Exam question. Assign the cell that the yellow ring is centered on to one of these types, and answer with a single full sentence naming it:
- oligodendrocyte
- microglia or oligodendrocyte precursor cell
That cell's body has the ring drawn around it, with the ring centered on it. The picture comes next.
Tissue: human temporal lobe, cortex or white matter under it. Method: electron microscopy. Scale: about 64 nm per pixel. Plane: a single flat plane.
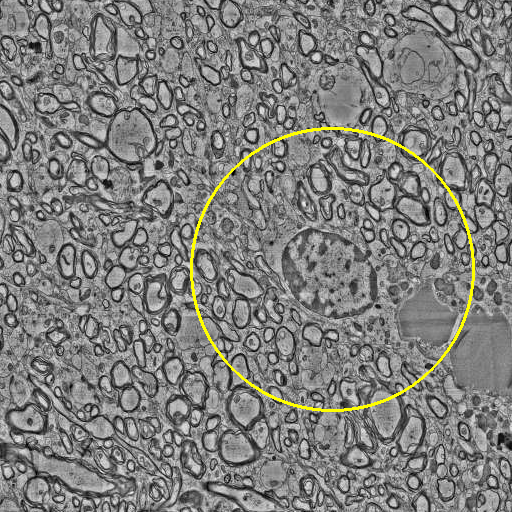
In the micrograph, the cell the yellow ring is centered on is a microglial cell or oligodendrocyte precursor cell.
